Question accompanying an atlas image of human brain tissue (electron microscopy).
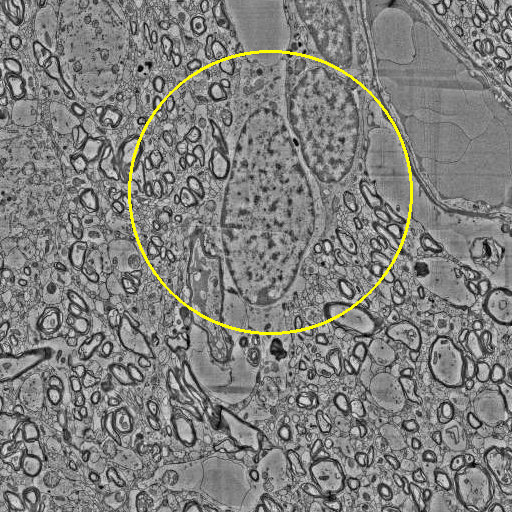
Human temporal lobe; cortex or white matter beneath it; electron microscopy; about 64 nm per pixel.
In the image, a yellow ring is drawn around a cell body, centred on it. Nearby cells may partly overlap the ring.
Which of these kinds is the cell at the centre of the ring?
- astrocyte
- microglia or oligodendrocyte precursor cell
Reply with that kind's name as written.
microglia or oligodendrocyte precursor cell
